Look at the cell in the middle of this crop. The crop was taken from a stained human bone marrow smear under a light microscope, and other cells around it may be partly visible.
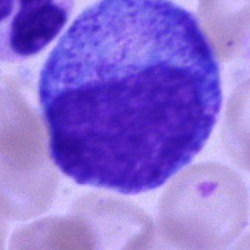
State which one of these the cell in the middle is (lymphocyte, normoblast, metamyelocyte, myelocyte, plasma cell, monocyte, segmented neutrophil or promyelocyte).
promyelocyte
